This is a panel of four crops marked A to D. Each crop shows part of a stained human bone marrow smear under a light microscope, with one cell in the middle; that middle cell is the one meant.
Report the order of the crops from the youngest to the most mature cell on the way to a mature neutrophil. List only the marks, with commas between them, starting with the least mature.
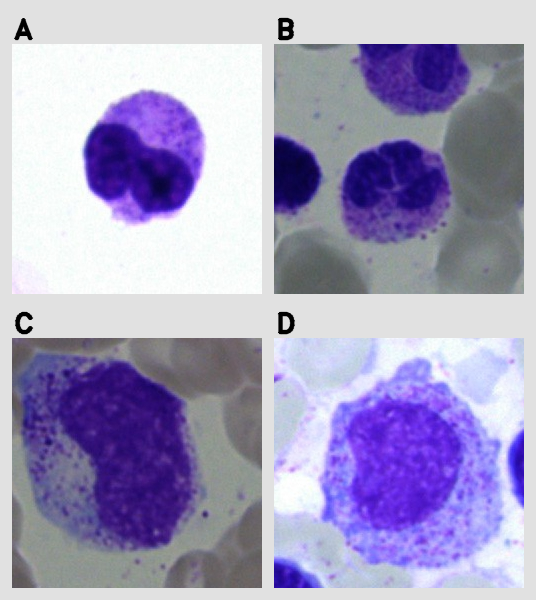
D, C, A, B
